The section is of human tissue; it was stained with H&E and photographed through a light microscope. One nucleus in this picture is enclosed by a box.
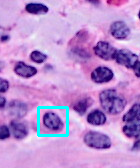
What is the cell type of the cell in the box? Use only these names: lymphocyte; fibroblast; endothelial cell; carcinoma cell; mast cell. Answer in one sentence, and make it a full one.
As a matter of cell type, the cell in the box is a mast cell.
